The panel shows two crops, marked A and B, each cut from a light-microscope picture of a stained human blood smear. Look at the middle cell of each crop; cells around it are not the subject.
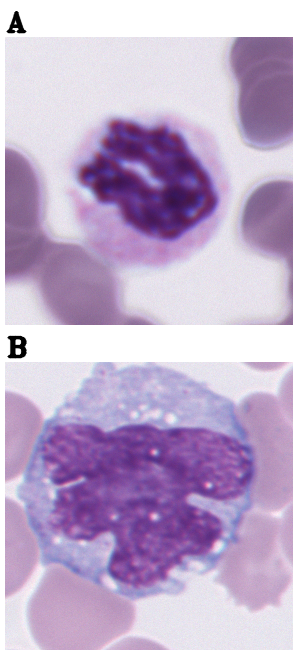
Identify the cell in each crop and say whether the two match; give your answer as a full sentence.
No, a segmented neutrophil is depicted by crop A, a monocyte by crop B.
